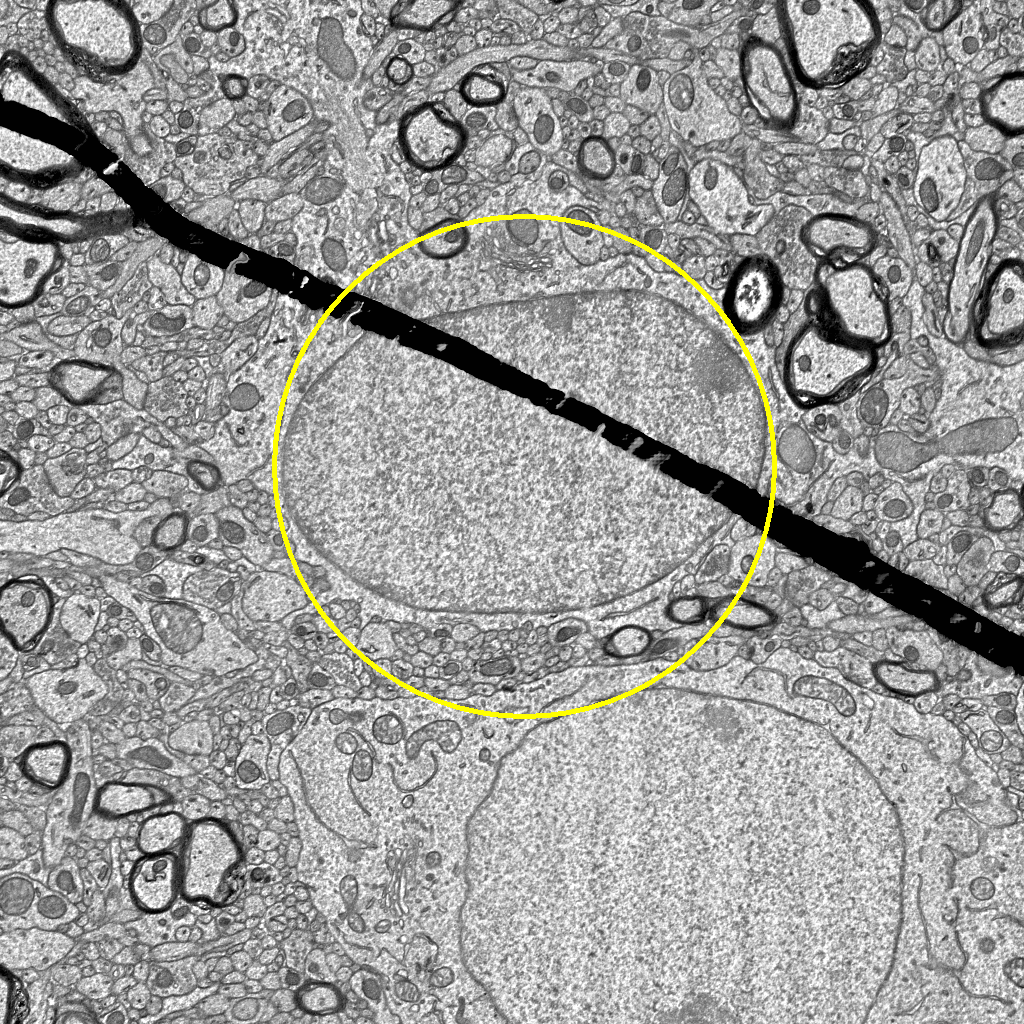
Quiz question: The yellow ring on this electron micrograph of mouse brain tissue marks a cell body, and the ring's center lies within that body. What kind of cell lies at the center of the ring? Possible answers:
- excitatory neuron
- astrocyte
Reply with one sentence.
The ring's center lies on an astrocyte.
